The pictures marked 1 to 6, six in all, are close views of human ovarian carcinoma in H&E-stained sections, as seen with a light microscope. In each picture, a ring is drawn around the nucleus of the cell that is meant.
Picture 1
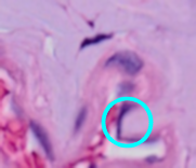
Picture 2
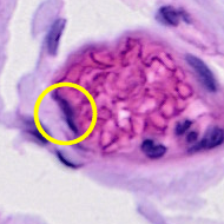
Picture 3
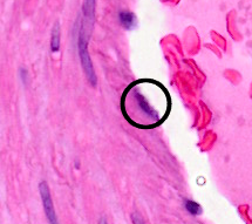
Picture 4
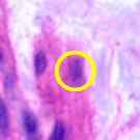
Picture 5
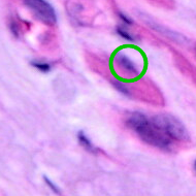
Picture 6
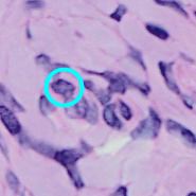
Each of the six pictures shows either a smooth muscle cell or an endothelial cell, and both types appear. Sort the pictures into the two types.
1: endothelial cell
2: endothelial cell
3: endothelial cell
4: smooth muscle cell
5: smooth muscle cell
6: endothelial cell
